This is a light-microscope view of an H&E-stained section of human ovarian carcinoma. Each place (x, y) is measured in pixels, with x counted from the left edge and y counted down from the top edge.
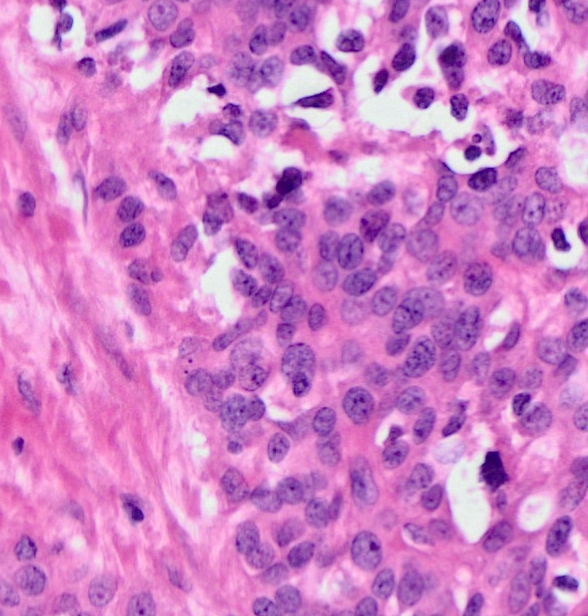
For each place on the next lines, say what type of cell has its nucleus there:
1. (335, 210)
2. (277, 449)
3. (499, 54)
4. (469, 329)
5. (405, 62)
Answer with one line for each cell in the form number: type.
1: carcinoma cell
2: macrophage or monocyte
3: macrophage or monocyte
4: carcinoma cell
5: carcinoma cell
